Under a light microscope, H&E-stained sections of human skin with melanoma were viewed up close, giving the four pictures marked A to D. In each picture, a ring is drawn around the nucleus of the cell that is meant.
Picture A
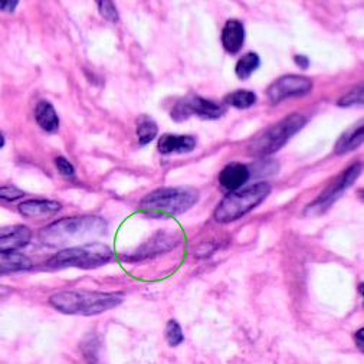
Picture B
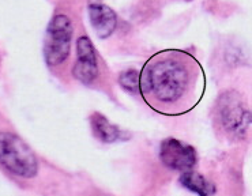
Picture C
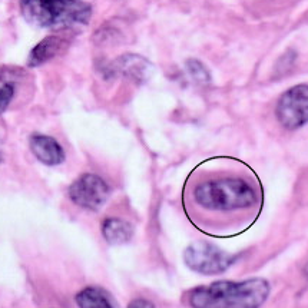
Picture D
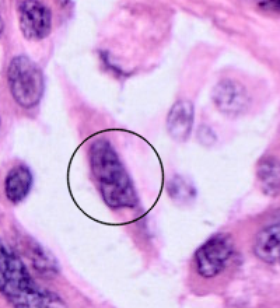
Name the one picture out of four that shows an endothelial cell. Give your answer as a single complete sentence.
Picture A is the one that shows the endothelial cell.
